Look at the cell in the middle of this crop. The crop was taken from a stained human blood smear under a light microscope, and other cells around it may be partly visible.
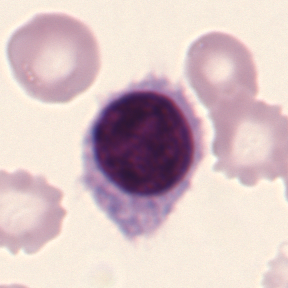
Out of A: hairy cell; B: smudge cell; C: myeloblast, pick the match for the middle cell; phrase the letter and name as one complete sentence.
What sits in the middle of the crop is a hairy cell, and option A is correct.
